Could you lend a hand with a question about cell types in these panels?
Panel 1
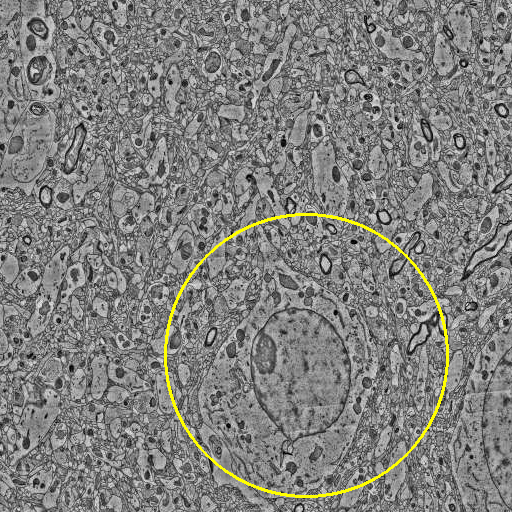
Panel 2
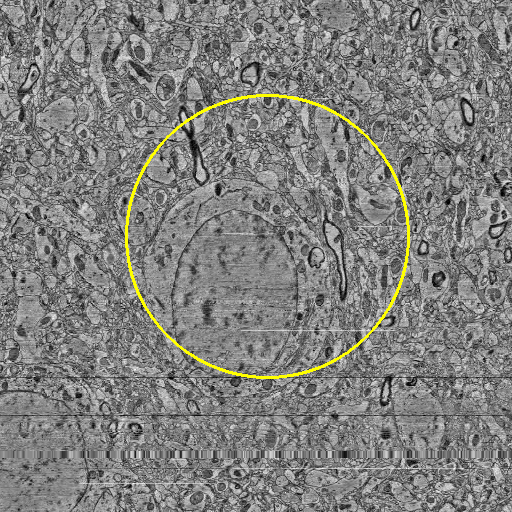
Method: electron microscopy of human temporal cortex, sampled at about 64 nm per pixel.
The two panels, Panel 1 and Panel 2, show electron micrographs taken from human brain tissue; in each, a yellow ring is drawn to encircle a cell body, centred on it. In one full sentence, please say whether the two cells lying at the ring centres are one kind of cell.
Yes, the cells at the ring centres in the two panels are one kind of cell.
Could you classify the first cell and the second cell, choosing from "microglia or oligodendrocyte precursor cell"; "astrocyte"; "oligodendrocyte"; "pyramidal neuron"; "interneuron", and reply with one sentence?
Each of the two rings surrounds a pyramidal neuron.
